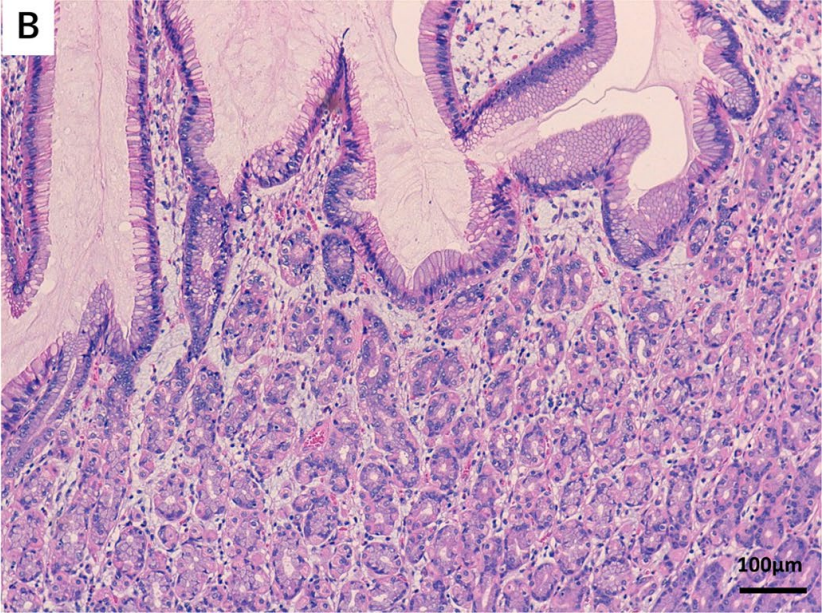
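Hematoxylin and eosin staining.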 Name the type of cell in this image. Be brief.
gastric glands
